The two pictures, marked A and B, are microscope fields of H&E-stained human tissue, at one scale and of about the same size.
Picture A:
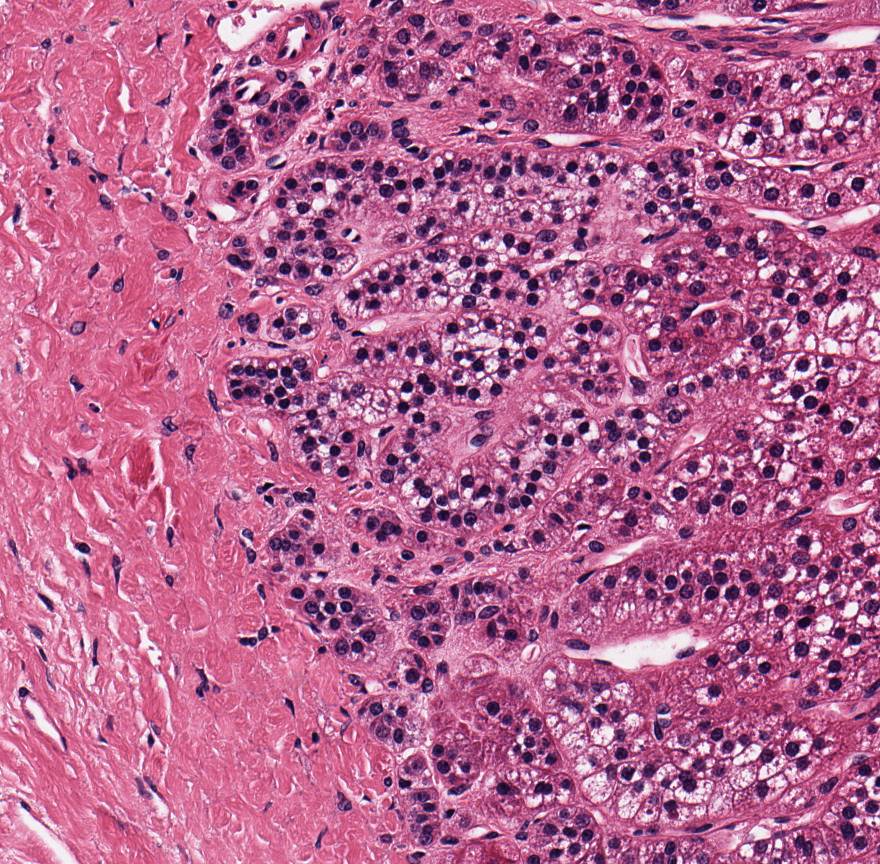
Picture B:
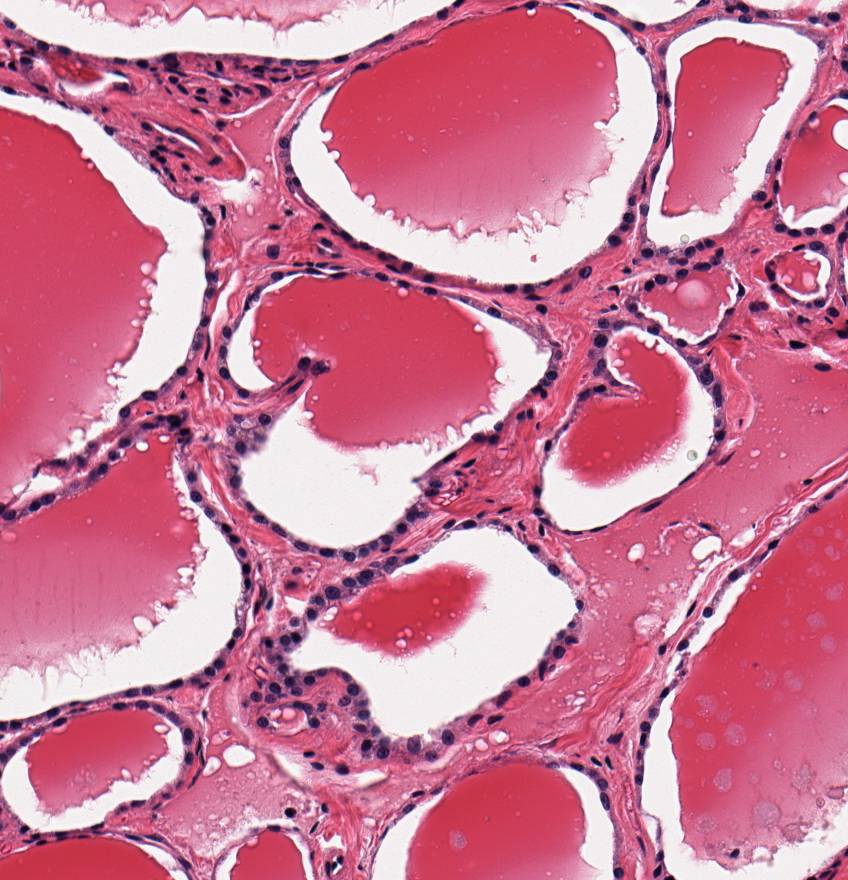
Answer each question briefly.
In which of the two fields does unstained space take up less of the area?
A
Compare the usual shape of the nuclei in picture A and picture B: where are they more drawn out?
B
